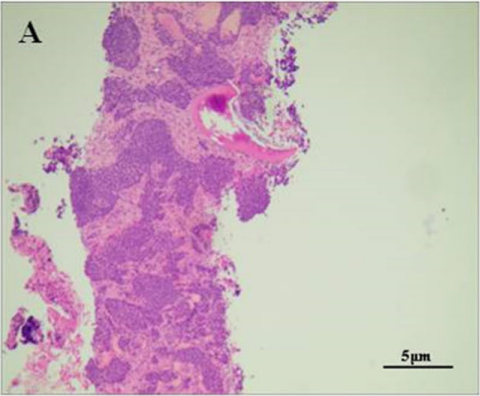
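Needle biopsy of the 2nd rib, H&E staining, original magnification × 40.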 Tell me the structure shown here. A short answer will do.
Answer: Cellular nests.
